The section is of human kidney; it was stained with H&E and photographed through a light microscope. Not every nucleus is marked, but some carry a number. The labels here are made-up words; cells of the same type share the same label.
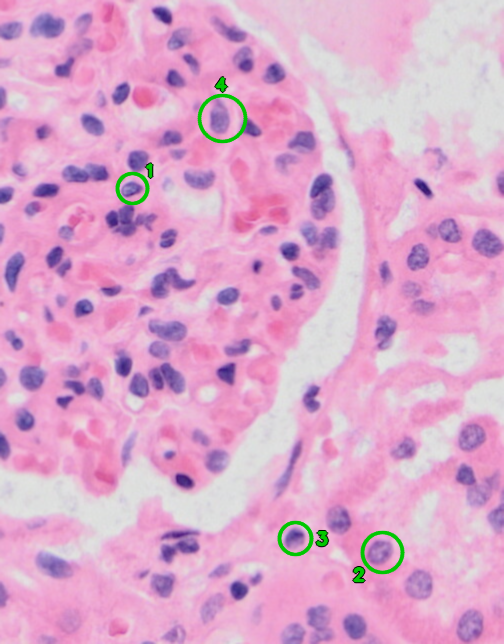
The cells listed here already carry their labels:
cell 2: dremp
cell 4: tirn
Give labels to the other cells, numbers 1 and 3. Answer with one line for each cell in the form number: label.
1: tirn
3: tirn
